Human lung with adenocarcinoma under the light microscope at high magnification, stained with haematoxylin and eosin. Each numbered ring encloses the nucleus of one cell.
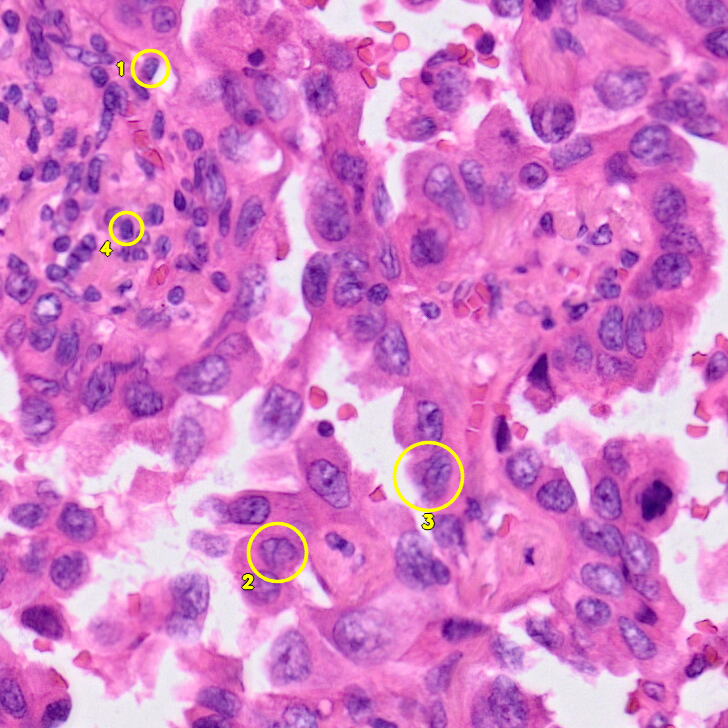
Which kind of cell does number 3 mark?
carcinoma cell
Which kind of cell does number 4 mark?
lymphocyte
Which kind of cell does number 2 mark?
carcinoma cell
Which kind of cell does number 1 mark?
lymphocyte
